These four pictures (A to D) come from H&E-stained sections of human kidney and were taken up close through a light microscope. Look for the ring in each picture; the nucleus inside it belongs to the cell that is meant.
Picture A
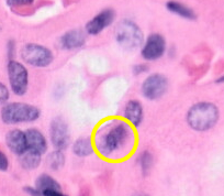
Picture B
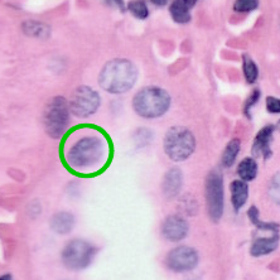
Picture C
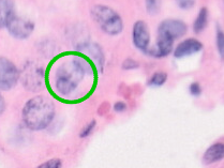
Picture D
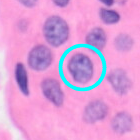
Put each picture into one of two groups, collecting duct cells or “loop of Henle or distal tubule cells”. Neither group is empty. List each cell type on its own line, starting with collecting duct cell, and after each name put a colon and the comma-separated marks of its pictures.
collecting duct cell: A, B, C
loop of Henle or distal tubule cell: D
